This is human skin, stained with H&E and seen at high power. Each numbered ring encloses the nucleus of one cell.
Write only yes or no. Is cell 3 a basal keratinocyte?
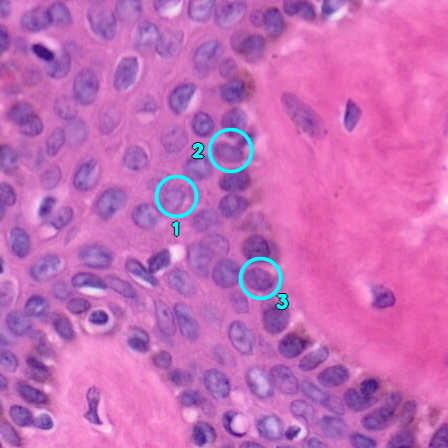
yes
